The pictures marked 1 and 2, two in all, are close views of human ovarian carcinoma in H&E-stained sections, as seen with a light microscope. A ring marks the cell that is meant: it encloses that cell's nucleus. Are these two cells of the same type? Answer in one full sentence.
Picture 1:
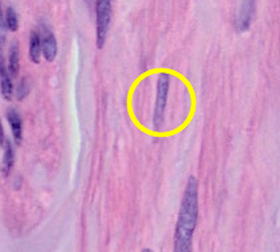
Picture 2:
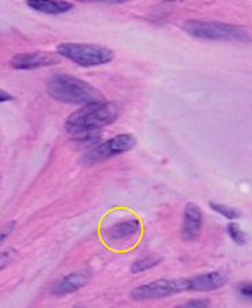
Yes, both are smooth muscle cells.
